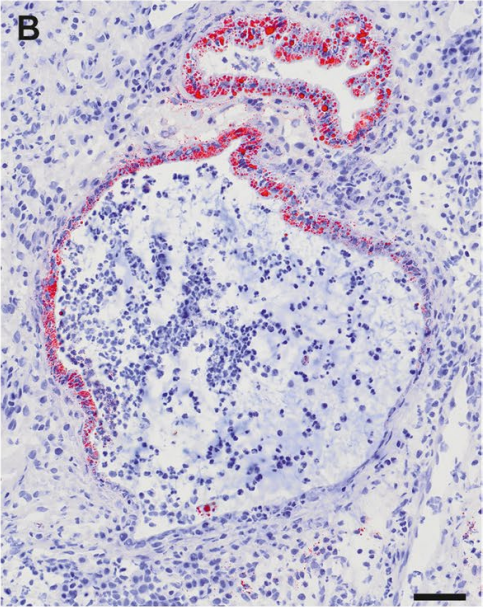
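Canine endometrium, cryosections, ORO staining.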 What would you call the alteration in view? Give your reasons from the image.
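A large widened lumen is filled with many loose round cells. Its lining epithelium is heavily stained red. A second widened cavity with red-stained lining lies at the top.
Conclusion: dilated glands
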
